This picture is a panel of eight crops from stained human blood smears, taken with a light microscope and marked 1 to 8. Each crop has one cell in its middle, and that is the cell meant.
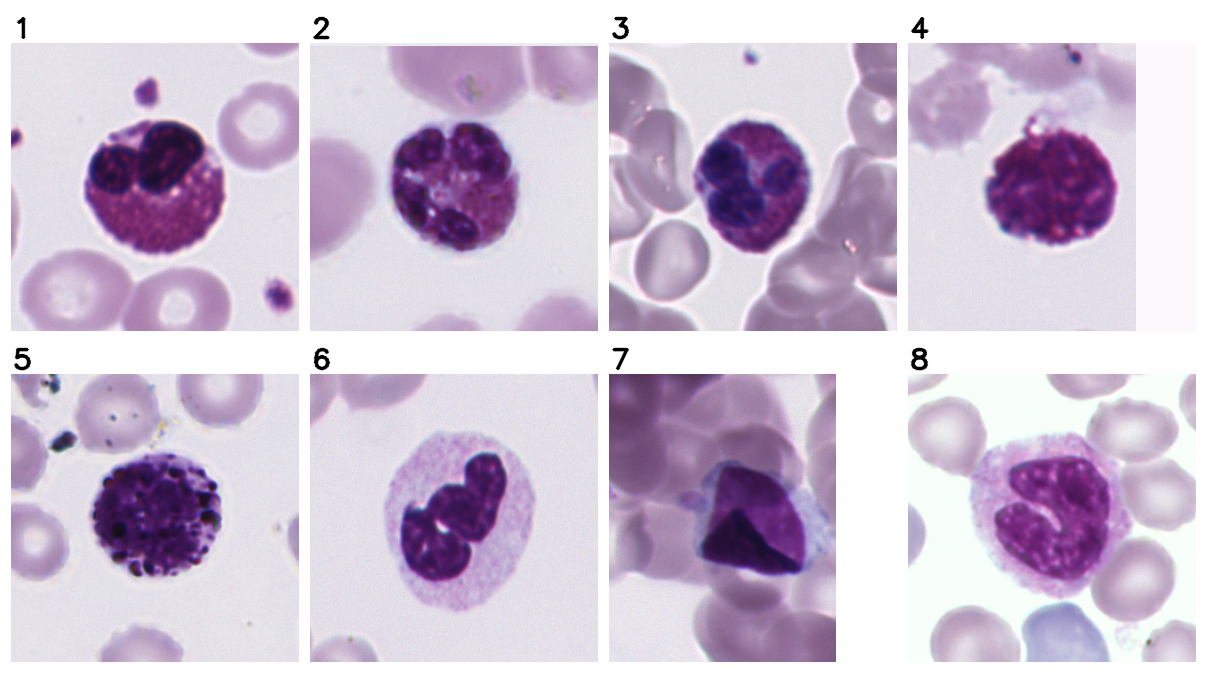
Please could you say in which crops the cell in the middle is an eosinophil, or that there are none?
1, 2, 3, 4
